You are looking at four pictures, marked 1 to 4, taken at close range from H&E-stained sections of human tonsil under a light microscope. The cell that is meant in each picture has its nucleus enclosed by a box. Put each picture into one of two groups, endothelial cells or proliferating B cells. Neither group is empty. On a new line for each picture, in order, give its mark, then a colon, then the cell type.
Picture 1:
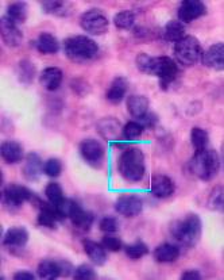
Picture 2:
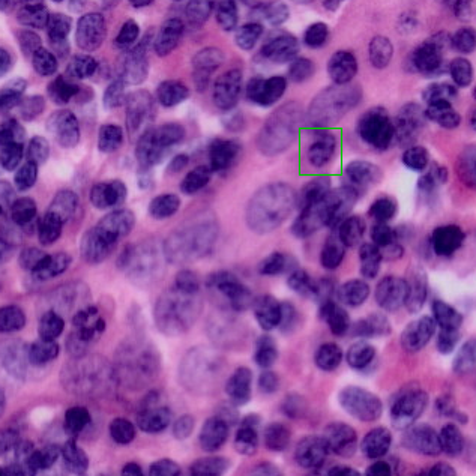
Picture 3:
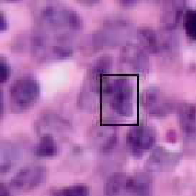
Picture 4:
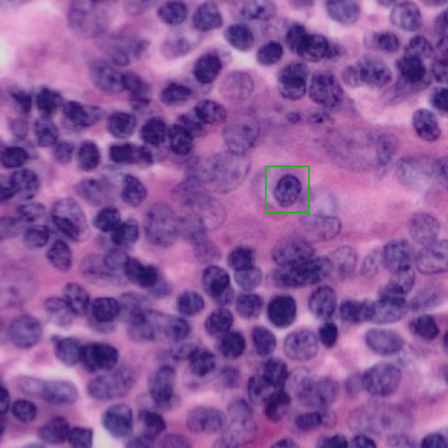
1: proliferating B cell
2: endothelial cell
3: proliferating B cell
4: endothelial cell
